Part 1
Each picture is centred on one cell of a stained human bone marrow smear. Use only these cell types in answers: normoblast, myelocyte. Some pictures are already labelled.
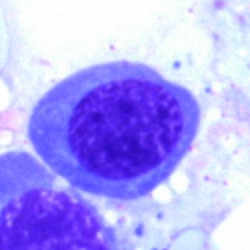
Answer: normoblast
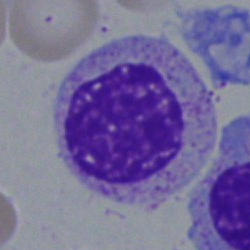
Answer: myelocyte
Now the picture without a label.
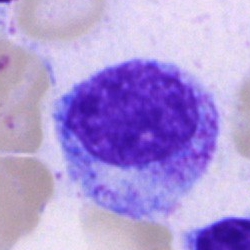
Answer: myelocyte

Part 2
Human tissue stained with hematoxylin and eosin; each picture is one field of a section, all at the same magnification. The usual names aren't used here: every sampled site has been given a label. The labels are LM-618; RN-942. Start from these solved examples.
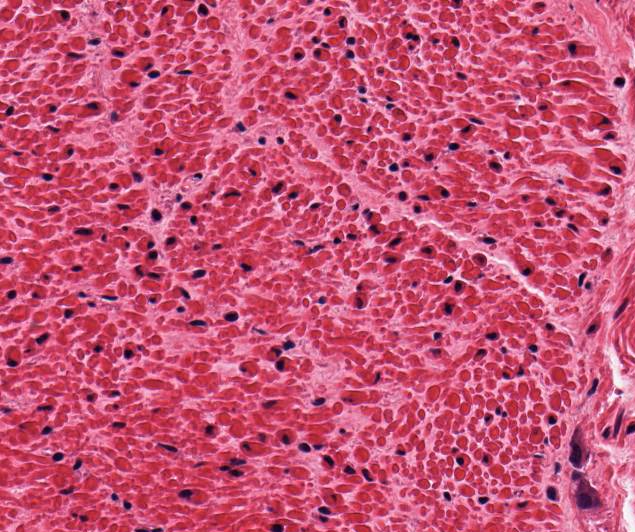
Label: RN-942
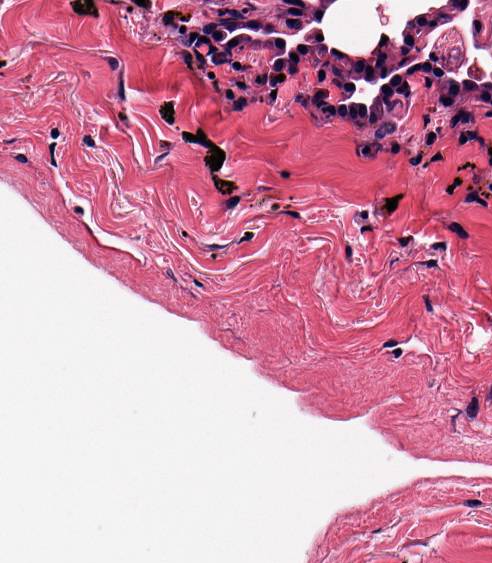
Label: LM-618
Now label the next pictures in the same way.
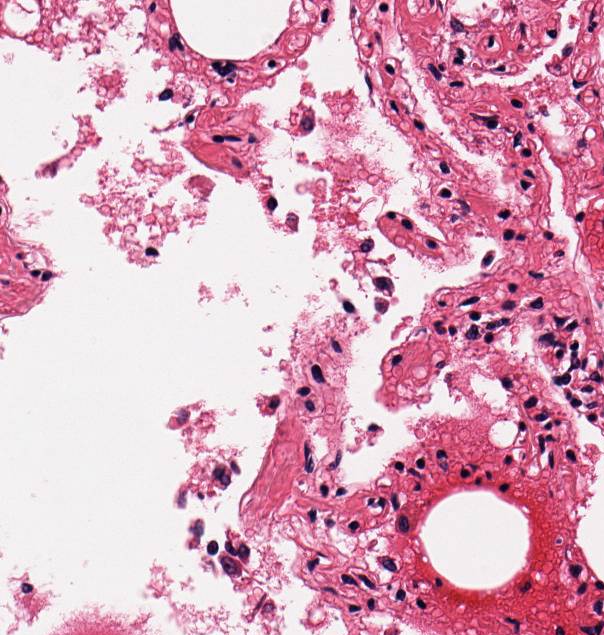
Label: LM-618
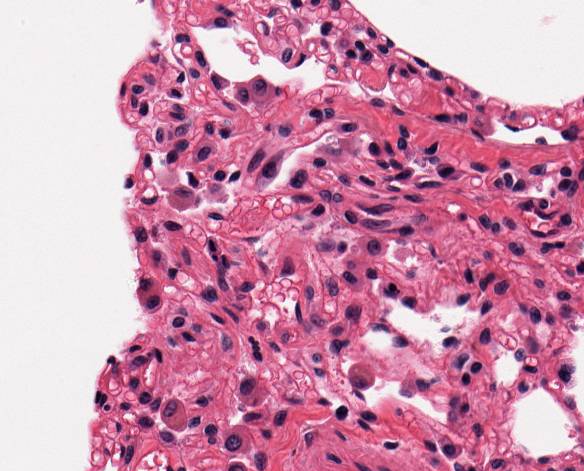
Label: LM-618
